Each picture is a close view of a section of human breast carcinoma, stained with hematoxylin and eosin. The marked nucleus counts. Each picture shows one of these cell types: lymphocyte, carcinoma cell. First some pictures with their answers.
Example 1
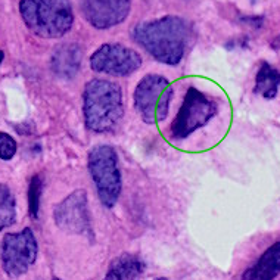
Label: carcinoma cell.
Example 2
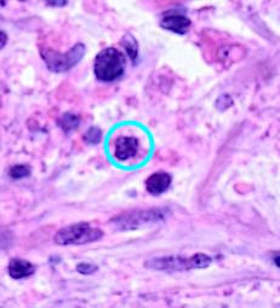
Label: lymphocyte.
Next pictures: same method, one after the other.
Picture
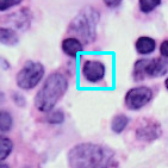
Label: lymphocyte.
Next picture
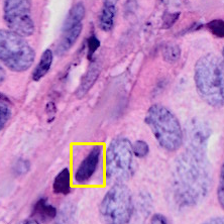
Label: carcinoma cell.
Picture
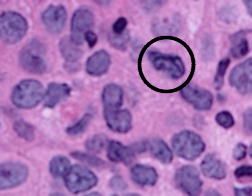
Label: carcinoma cell.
